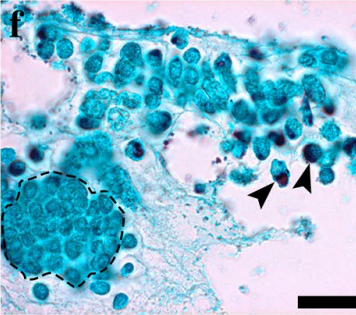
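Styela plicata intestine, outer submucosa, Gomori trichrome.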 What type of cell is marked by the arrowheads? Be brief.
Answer: Free cells with conspicuous granules.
